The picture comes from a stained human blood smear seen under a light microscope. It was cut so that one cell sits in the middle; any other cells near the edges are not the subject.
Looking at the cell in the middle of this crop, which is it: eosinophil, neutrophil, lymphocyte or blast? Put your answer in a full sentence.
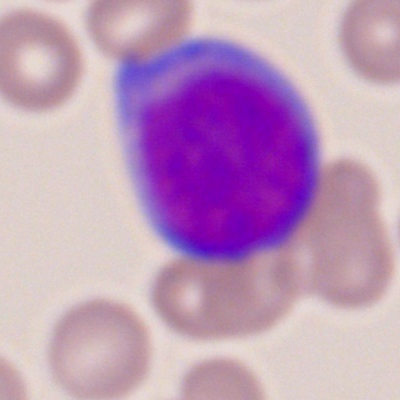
The cell found in the middle of this crop is a blast.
